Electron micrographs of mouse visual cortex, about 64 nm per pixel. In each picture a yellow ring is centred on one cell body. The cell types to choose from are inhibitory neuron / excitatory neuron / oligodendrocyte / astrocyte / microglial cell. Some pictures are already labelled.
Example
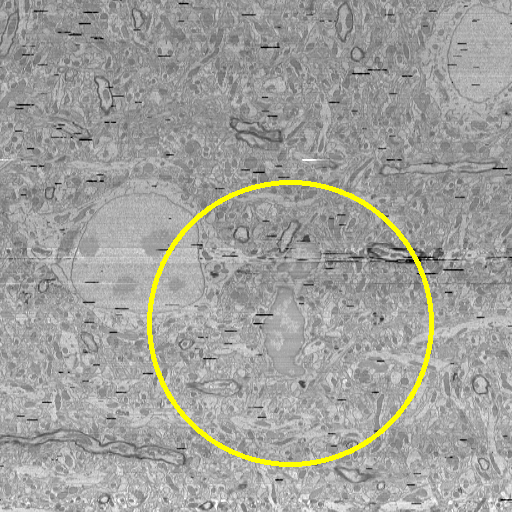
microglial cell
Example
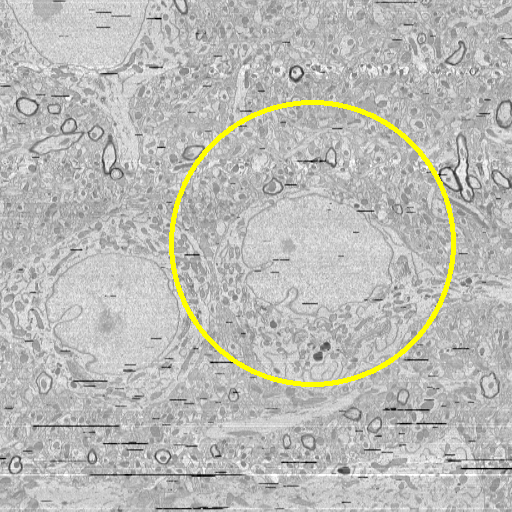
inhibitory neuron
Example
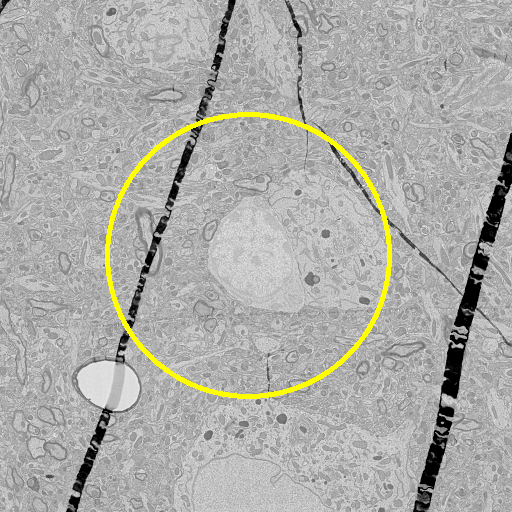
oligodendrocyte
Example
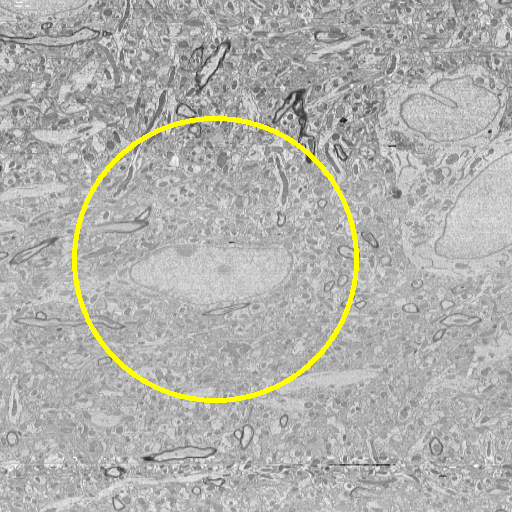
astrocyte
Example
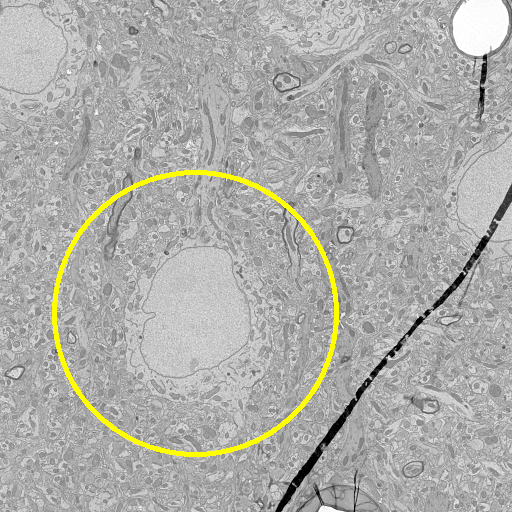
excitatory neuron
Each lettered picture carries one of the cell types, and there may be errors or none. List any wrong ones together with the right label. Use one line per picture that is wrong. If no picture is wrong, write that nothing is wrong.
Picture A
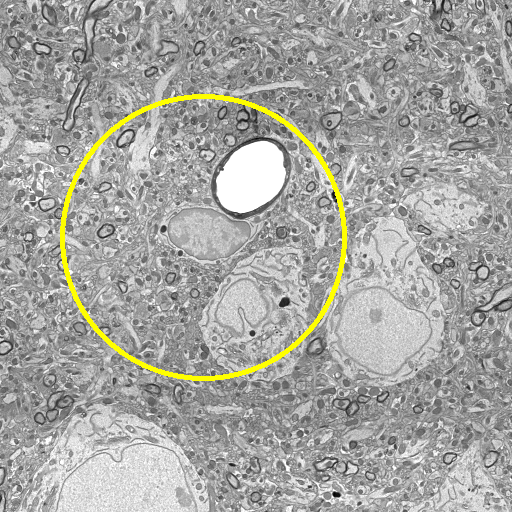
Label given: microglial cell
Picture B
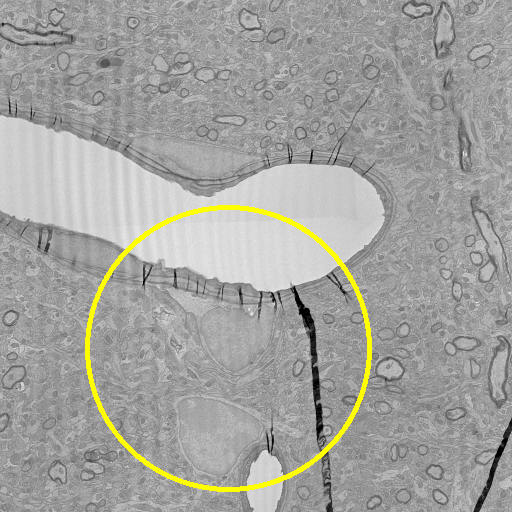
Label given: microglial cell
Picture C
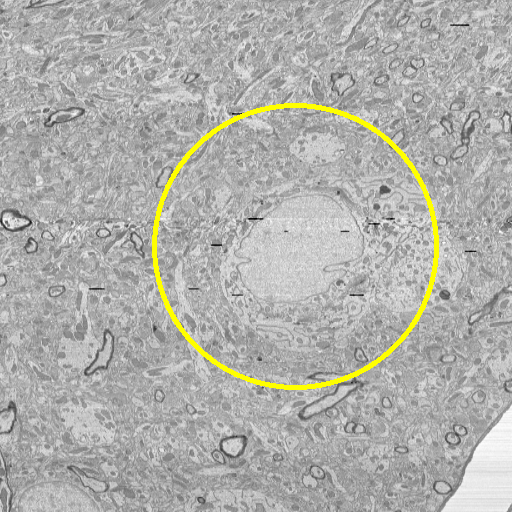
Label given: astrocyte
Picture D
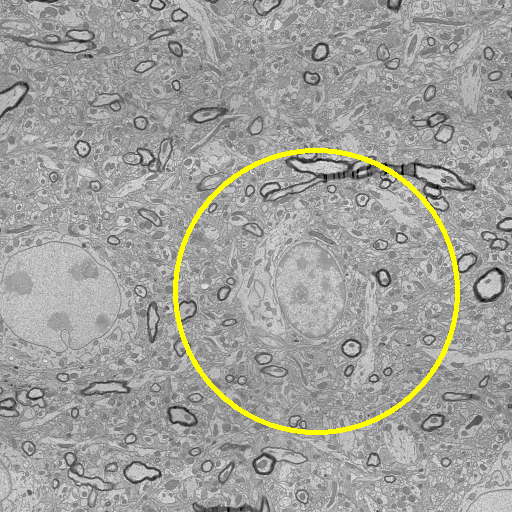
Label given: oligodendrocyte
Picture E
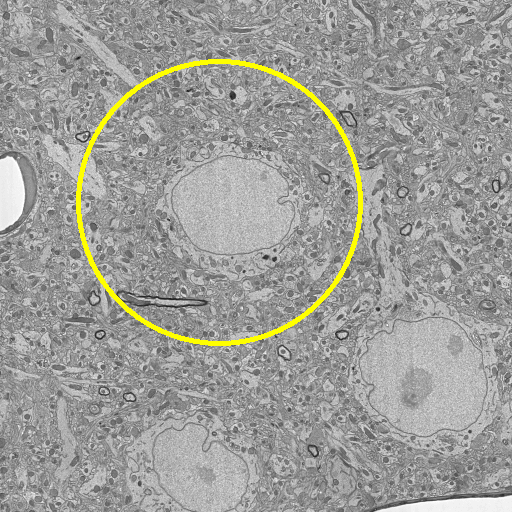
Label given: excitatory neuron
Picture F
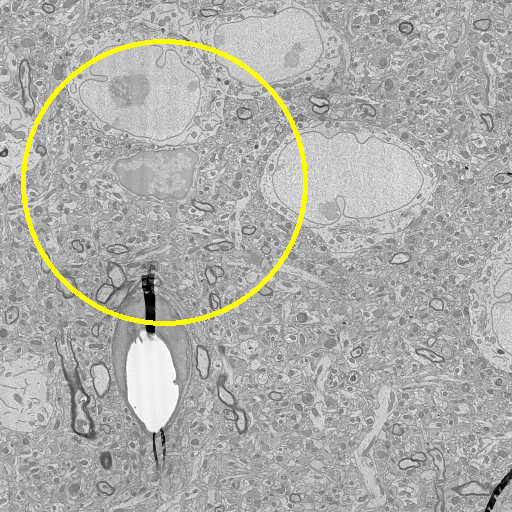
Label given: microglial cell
C: not astrocyte but inhibitory neuron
